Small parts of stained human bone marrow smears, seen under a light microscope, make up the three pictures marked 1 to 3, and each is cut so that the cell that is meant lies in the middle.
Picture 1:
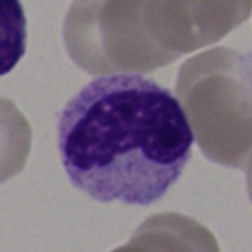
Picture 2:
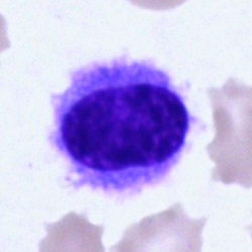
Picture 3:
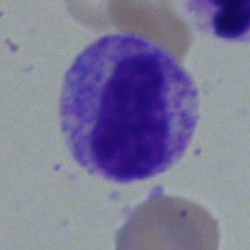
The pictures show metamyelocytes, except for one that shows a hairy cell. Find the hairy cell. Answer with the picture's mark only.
2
